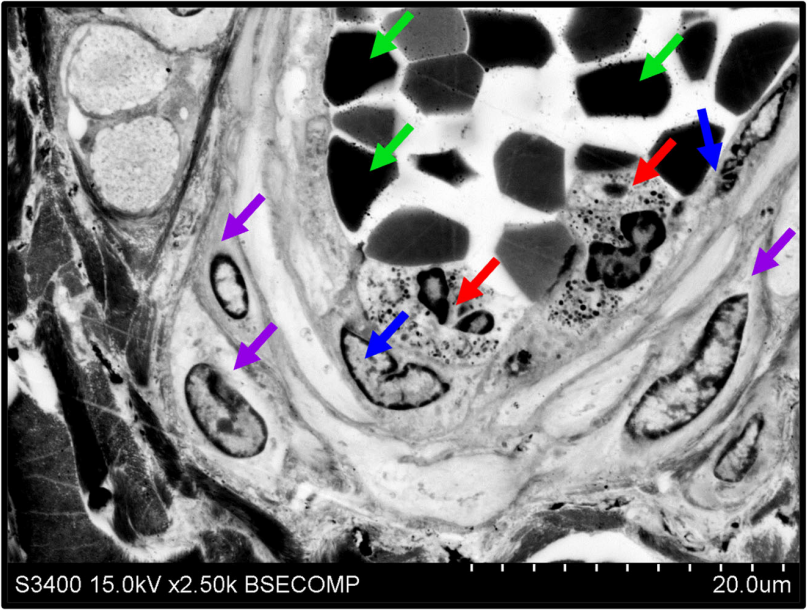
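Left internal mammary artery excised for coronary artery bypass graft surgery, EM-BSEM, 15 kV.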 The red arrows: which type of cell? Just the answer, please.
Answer: neutrophils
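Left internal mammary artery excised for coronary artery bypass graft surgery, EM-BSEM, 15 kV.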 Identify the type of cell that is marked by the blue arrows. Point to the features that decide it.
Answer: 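The marked cells are thin and flattened with elongated nuclei. They line the border between the lumen and the vessel wall.
Conclusion: endothelial cells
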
